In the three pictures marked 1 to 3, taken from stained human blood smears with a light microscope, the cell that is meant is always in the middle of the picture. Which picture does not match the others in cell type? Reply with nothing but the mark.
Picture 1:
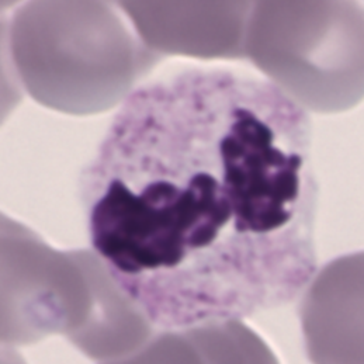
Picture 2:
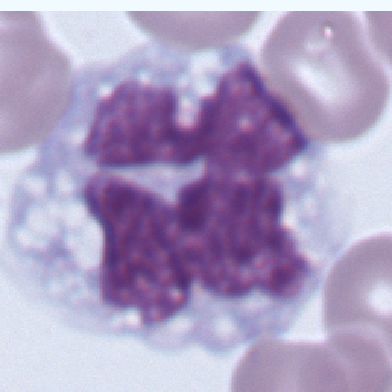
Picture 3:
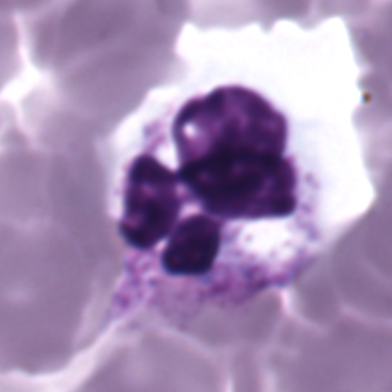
2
